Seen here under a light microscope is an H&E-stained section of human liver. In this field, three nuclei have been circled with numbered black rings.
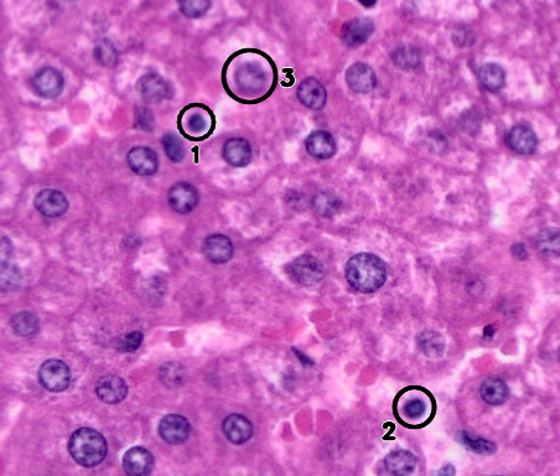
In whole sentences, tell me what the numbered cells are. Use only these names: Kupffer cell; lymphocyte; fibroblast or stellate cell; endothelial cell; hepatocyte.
Cell 1 is a lymphocyte, cell 2 is a lymphocyte and cell 3 is a hepatocyte.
